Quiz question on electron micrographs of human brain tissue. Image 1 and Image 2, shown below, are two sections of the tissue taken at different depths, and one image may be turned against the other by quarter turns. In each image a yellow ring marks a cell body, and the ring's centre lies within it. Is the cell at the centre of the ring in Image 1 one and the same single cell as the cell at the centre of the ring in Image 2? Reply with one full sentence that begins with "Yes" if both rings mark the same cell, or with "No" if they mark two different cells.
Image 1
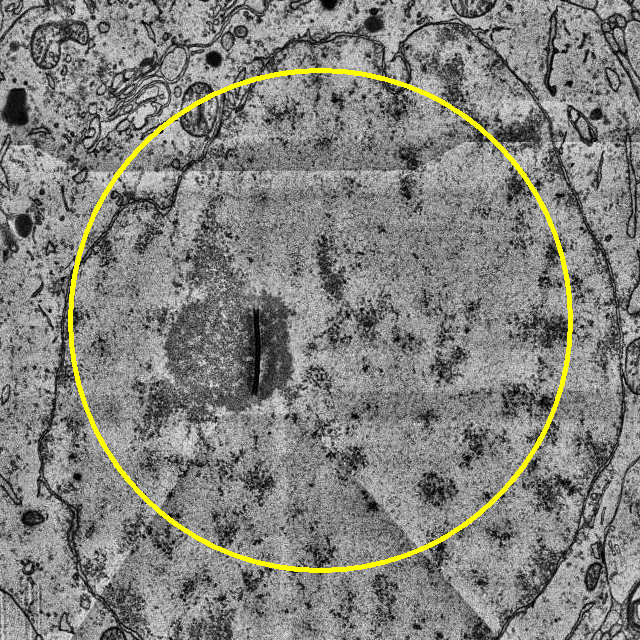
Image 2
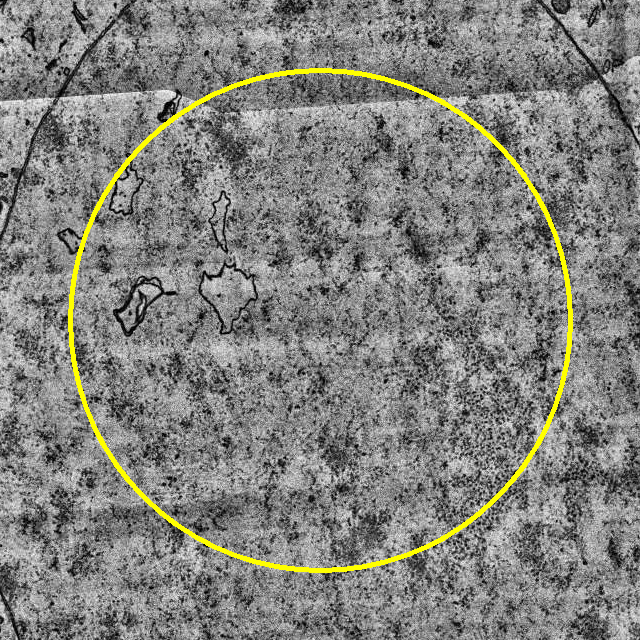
No, each yellow ring marks its own cell.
